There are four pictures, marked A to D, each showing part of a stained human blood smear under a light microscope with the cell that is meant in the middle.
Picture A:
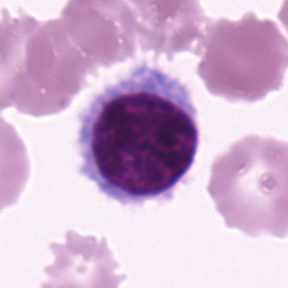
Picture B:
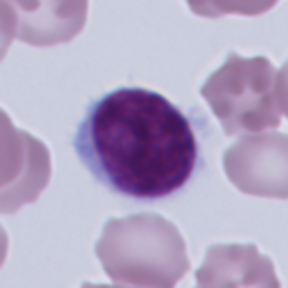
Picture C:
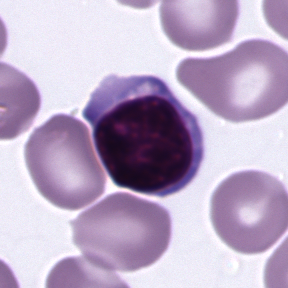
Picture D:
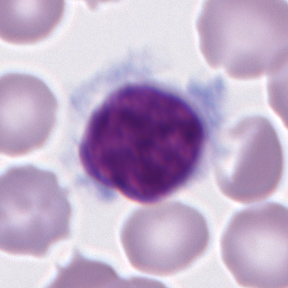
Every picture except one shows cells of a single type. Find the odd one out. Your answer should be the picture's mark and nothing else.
C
